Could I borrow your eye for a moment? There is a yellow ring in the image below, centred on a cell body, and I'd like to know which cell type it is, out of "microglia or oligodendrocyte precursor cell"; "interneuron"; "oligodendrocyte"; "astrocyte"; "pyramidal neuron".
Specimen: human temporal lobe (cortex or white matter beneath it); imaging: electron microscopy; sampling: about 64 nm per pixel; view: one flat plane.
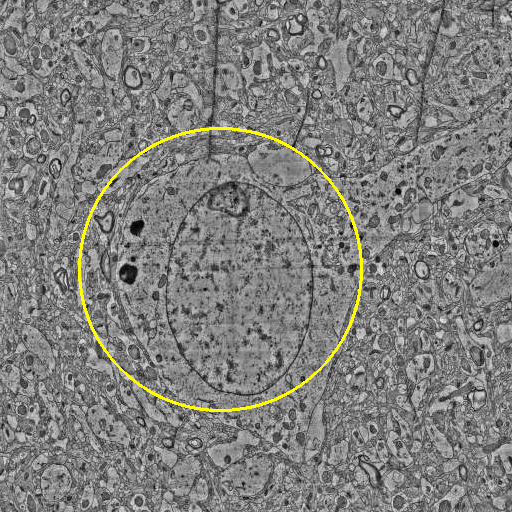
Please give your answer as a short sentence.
The cell body at the centre is that of a pyramidal neuron.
